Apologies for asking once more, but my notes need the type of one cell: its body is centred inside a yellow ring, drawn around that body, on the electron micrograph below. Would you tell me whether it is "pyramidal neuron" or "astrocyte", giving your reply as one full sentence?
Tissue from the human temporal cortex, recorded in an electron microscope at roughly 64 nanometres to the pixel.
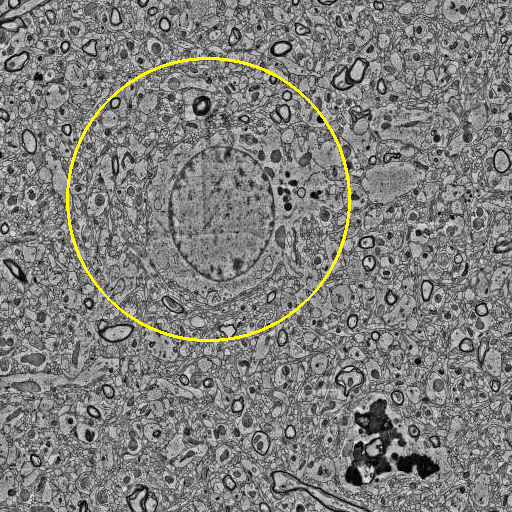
The cell that the yellow ring is centred on is an astrocyte in this micrograph.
